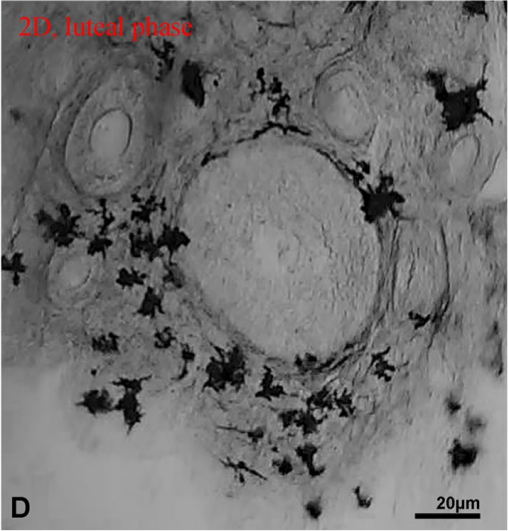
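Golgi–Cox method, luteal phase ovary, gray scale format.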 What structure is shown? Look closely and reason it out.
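Ovarian follicles. A large round structure bounded by a concentric wall lies at the centre. Smaller round structures with an inner round body surround it.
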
